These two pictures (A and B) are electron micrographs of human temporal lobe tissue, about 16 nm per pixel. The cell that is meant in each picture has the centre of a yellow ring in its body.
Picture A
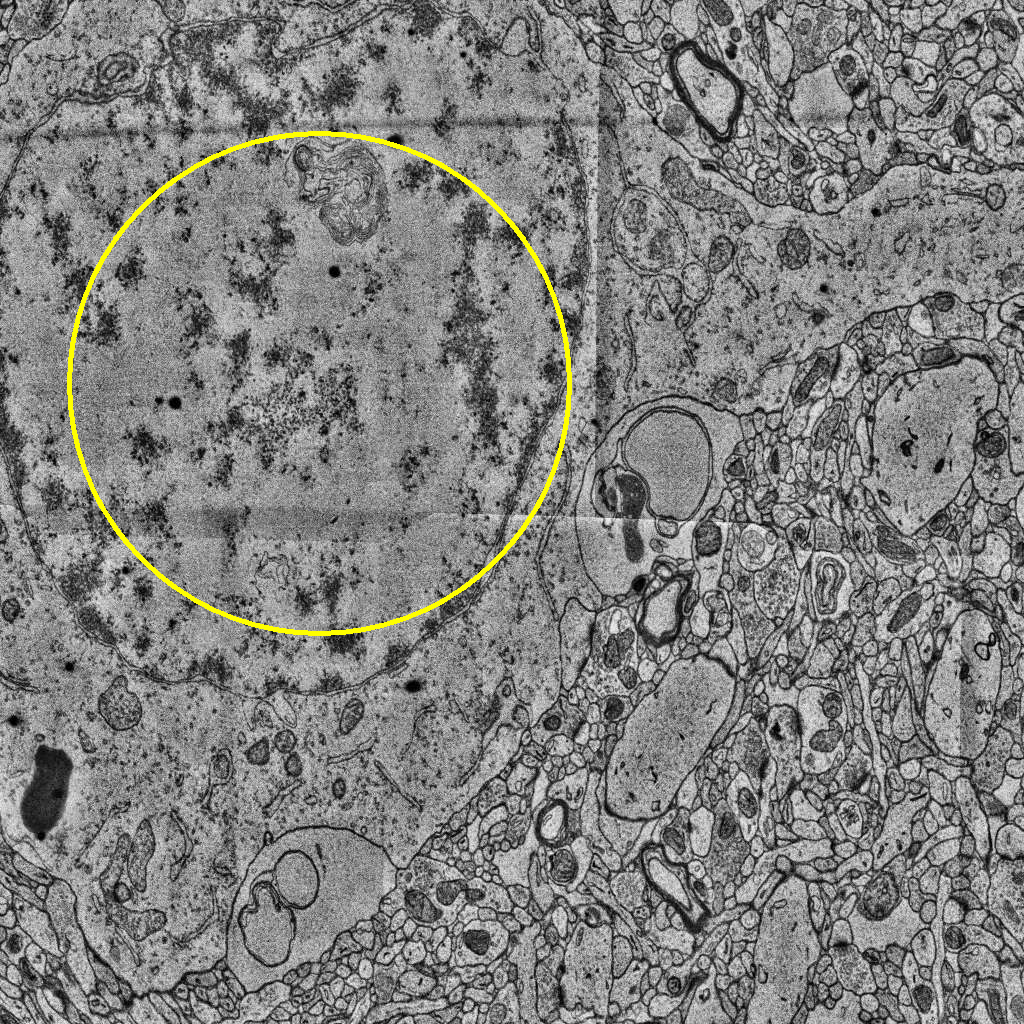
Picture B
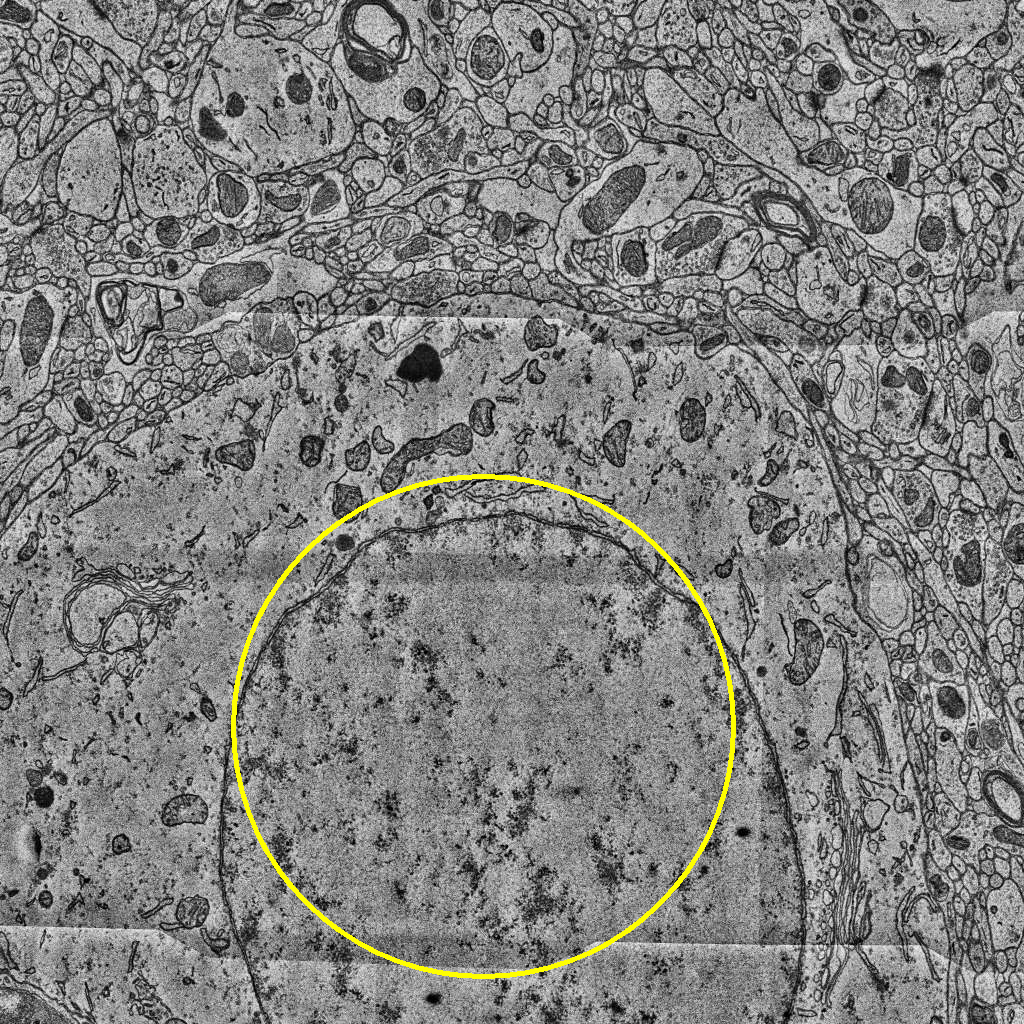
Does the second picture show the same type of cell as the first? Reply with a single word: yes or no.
no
